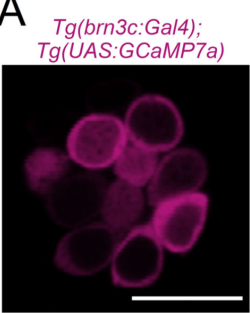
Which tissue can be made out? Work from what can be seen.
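A small compact rosette-like cluster of rounded cells. The cluster is only a few cell diameters across. The answer: neuromast.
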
